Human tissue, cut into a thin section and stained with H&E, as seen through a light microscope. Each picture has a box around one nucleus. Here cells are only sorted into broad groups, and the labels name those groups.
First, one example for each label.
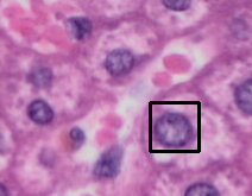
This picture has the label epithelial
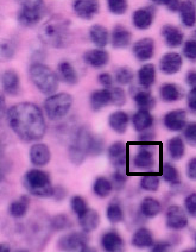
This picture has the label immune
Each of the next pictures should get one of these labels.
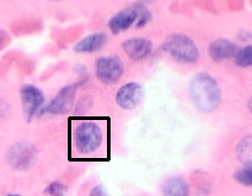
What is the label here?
epithelial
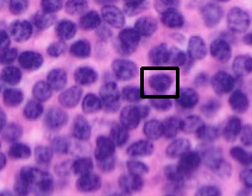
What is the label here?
immune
